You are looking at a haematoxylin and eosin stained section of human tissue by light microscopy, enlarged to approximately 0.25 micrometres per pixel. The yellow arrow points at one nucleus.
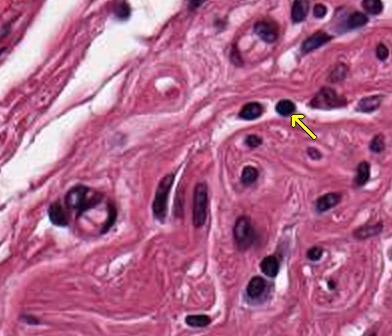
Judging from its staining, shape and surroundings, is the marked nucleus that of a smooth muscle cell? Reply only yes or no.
no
